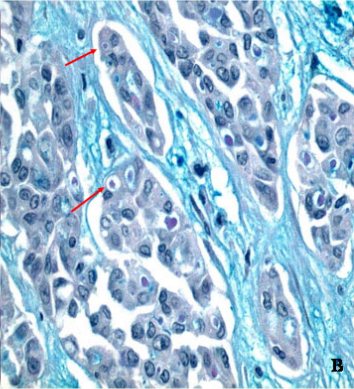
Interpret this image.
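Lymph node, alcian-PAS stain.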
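Nests of metastatic cancer cells with large oval nuclei and grey cytoplasm lie in a stroma stained blue-green, set apart from it by clear clefts. Within the cytoplasm of some cells are small clear vacuoles, each containing a rounded globule.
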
